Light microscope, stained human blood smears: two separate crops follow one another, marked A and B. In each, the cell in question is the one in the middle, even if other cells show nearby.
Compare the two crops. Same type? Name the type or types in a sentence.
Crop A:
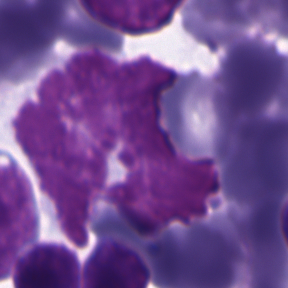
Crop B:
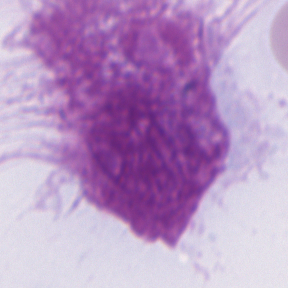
Yes, smudge cells lie at the centre of both crops.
